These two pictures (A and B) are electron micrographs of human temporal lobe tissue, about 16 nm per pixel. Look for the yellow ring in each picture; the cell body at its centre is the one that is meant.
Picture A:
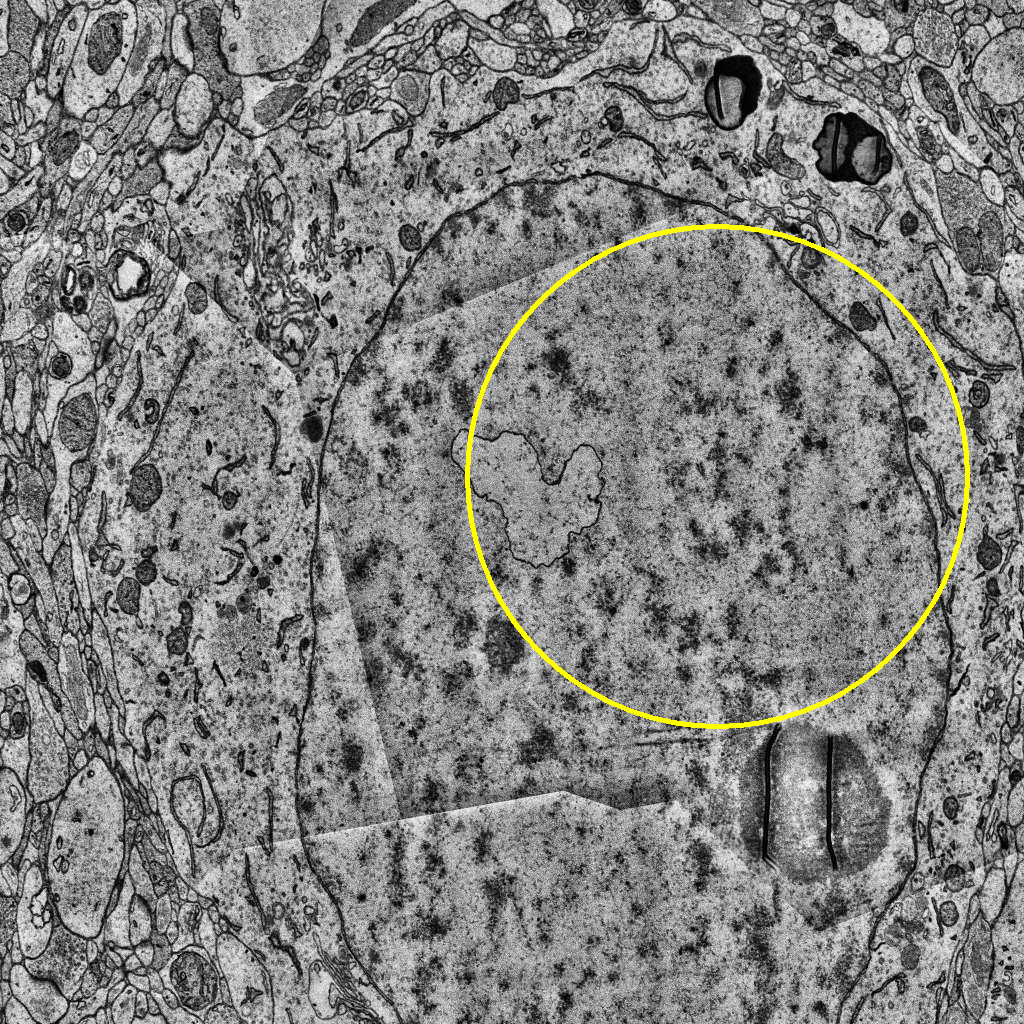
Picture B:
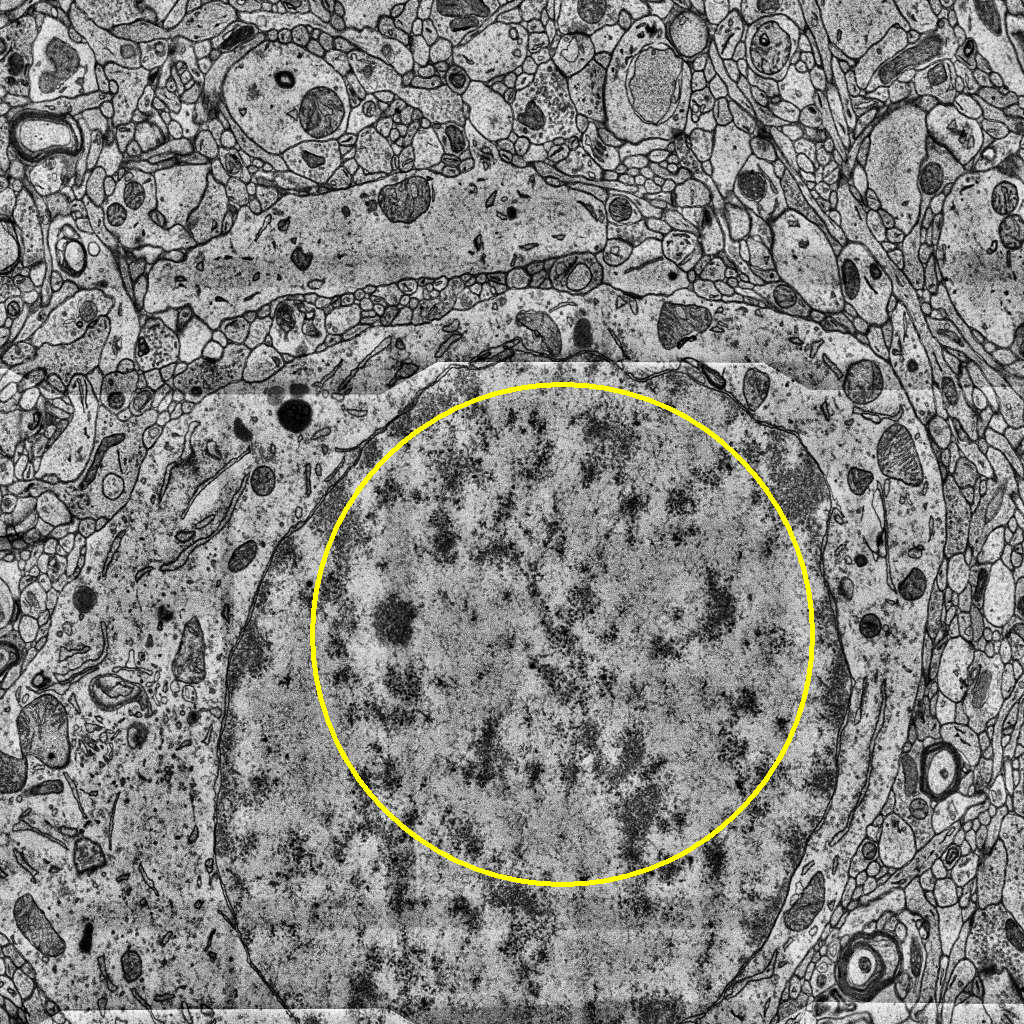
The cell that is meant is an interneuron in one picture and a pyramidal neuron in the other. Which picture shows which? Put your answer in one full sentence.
In picture A the cell is a pyramidal neuron; in picture B, an interneuron.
